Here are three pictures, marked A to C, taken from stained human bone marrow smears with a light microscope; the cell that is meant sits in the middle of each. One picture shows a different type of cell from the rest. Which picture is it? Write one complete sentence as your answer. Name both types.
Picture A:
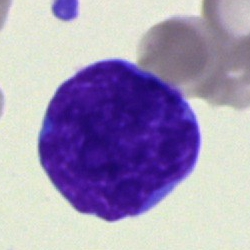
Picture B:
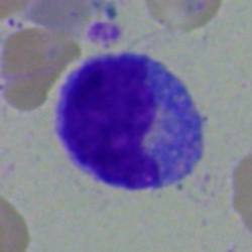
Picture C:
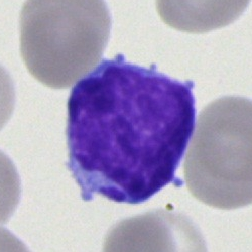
Picture B differs, because its cell is a monocyte and the rest are blasts.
